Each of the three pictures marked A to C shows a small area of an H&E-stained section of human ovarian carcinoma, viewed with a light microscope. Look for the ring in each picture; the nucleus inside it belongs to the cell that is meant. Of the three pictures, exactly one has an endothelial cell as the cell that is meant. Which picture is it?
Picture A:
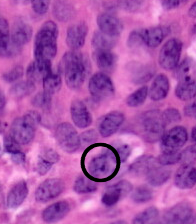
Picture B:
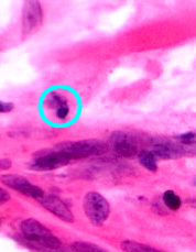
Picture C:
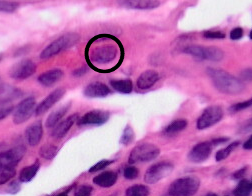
C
